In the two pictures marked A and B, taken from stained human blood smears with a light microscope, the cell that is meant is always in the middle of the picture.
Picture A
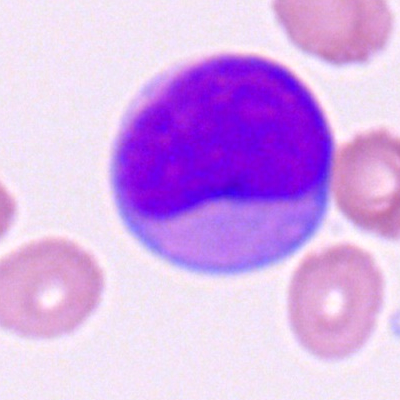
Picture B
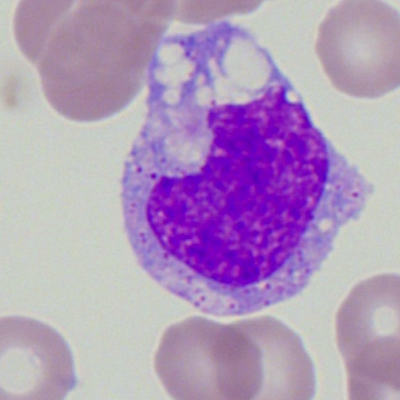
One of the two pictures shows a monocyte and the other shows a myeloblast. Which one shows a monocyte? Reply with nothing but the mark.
B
